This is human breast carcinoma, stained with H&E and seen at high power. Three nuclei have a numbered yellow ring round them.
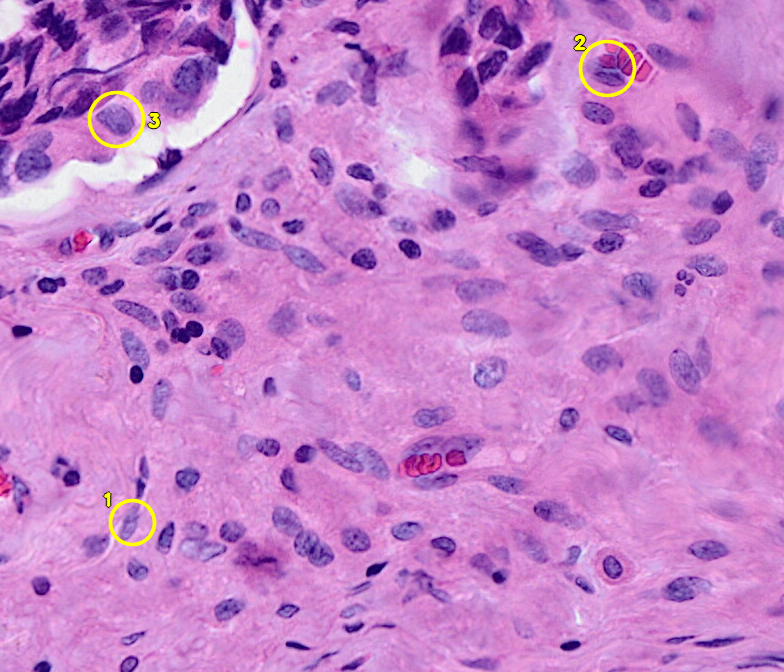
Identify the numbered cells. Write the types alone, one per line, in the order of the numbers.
fibroblast
endothelial cell
carcinoma cell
